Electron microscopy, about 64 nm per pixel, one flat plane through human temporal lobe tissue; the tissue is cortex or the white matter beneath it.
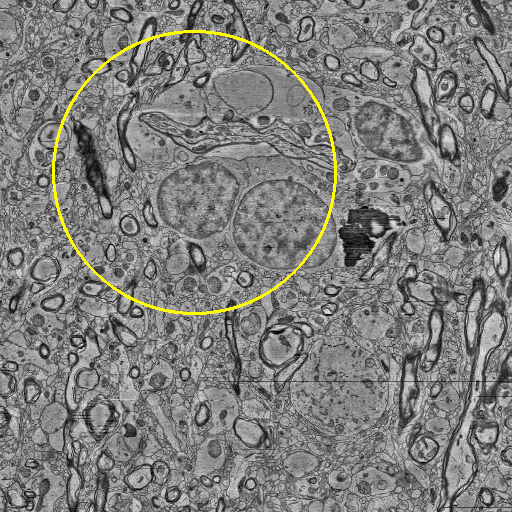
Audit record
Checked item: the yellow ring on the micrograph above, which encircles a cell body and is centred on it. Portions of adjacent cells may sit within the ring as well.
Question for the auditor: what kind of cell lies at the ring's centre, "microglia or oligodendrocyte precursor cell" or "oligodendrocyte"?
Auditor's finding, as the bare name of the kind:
oligodendrocyte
